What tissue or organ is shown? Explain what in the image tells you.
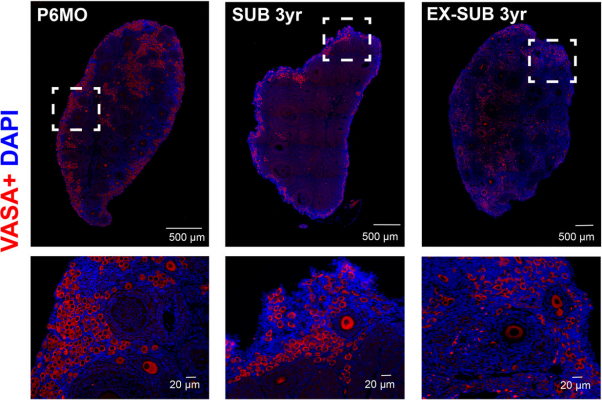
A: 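Ovaries. Oval organ sections packed with small round cells. Large round cells surrounded by layers of smaller cells, forming follicles, in the enlarged views.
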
